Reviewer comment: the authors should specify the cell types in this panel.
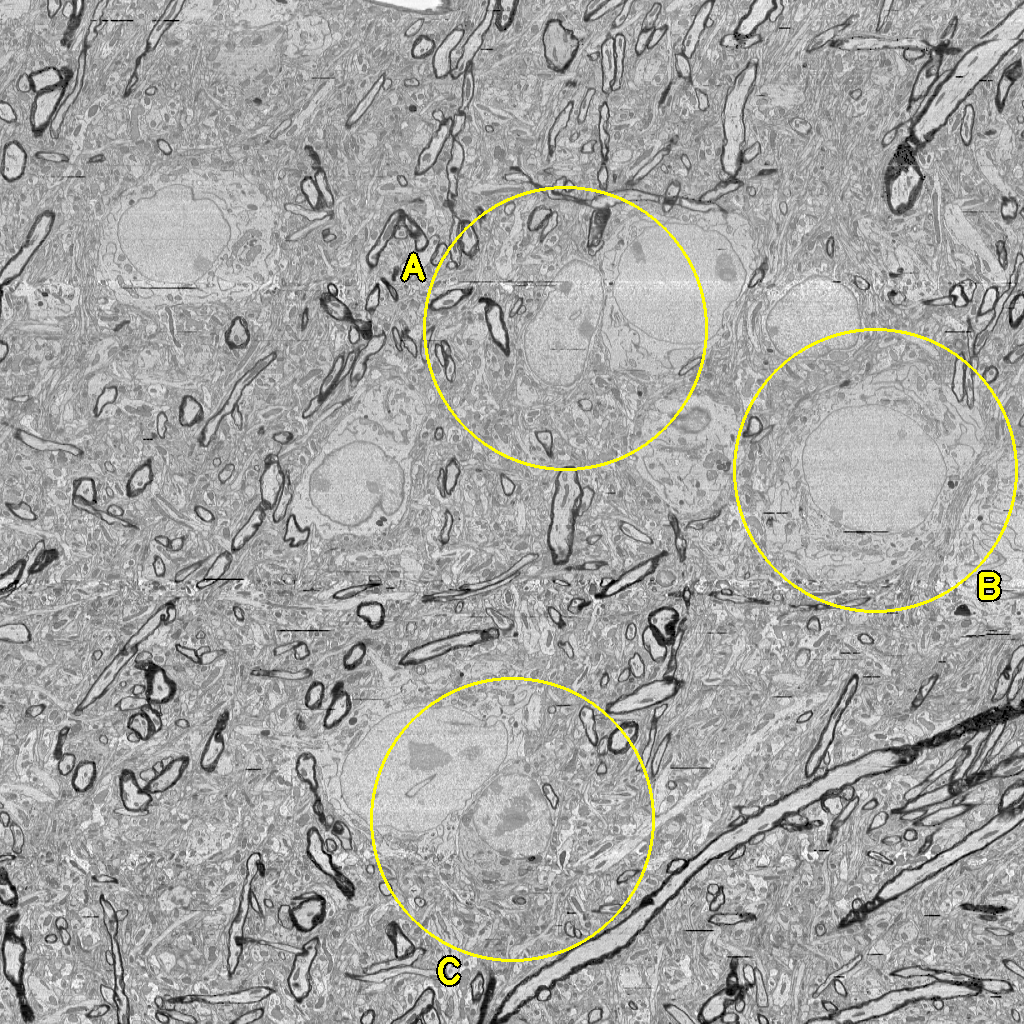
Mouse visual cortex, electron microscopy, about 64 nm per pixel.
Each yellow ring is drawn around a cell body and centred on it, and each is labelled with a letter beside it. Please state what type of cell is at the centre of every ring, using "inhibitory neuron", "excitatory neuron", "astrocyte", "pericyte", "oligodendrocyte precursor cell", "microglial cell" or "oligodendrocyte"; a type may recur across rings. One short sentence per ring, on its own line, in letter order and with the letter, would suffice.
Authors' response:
The cell centred within ring A is an oligodendrocyte precursor cell.
The cell centred within ring B is an excitatory neuron.
The cell centred within ring C is an oligodendrocyte.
